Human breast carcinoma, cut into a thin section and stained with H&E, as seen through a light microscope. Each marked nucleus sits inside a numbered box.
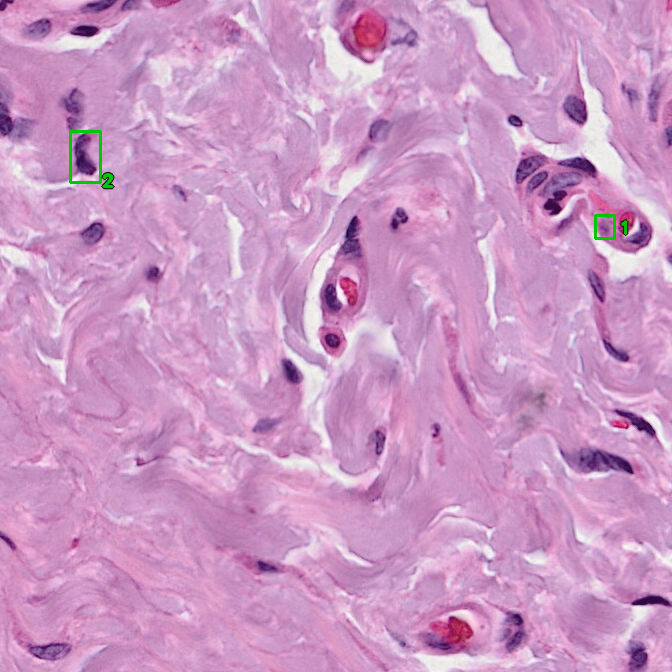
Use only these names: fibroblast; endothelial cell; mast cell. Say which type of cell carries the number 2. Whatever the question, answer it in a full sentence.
Here the cell numbered 2 is a fibroblast.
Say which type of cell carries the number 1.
It is as an endothelial cell that the cell numbered 1 is identified.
